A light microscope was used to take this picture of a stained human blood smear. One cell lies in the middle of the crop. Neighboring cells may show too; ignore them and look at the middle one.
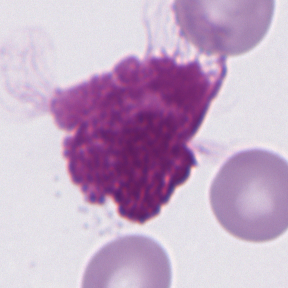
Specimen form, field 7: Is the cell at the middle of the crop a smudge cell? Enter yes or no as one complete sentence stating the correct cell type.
Yes, the cell at the middle is a smudge cell.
